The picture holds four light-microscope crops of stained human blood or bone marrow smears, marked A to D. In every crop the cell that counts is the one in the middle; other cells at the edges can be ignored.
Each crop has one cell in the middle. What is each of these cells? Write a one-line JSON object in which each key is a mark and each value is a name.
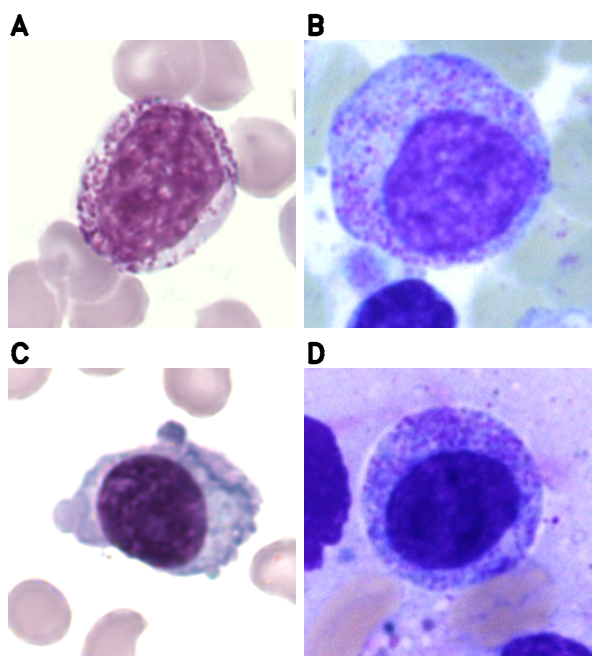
{"A": "myelocyte", "B": "myelocyte", "C": "plasma cell", "D": "myelocyte"}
